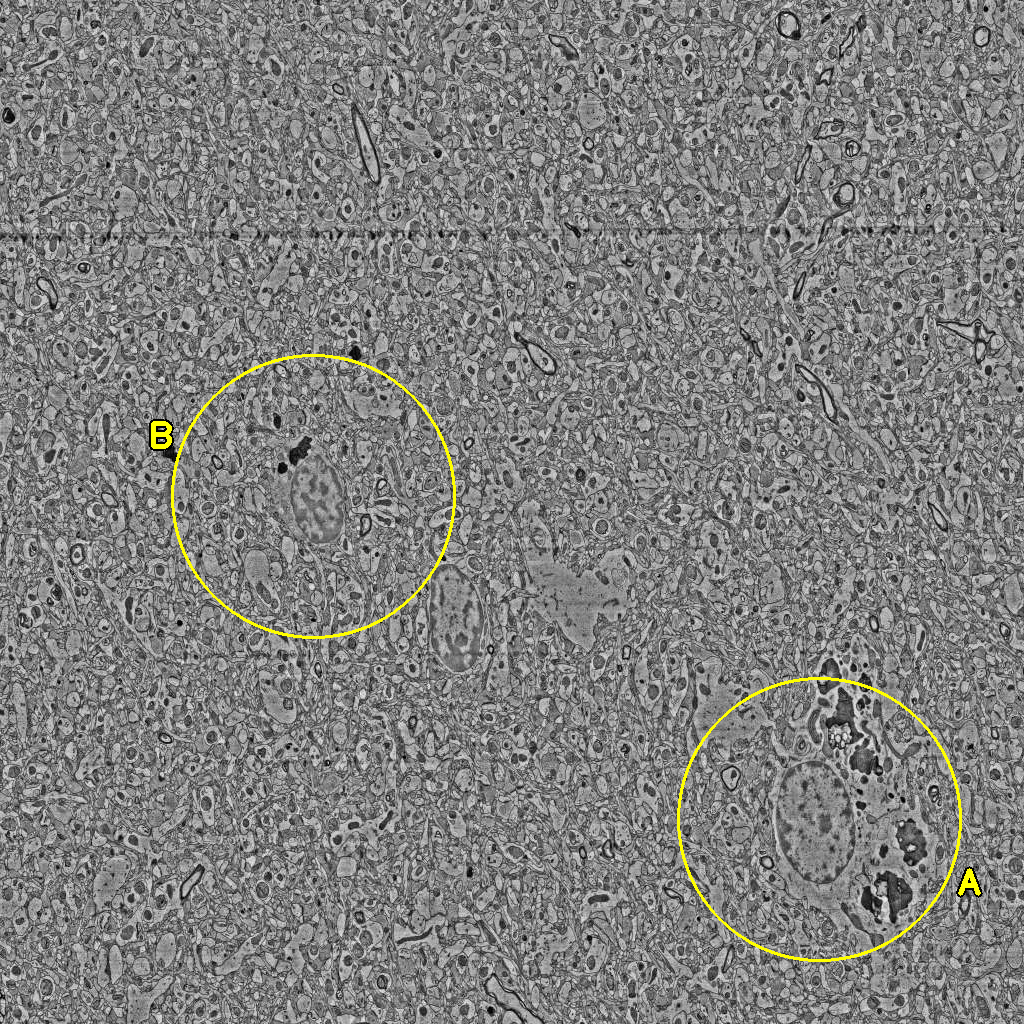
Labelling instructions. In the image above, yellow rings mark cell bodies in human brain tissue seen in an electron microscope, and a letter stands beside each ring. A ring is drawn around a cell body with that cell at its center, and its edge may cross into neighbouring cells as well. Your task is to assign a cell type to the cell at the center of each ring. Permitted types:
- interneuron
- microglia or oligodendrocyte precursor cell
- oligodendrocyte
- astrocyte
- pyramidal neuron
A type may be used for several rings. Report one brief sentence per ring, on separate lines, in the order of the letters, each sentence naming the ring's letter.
The cell at the center of ring A is an astrocyte.
The cell at the center of ring B is an oligodendrocyte.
